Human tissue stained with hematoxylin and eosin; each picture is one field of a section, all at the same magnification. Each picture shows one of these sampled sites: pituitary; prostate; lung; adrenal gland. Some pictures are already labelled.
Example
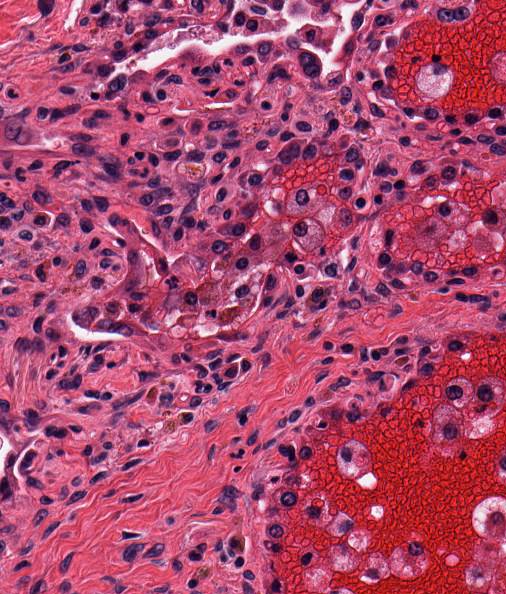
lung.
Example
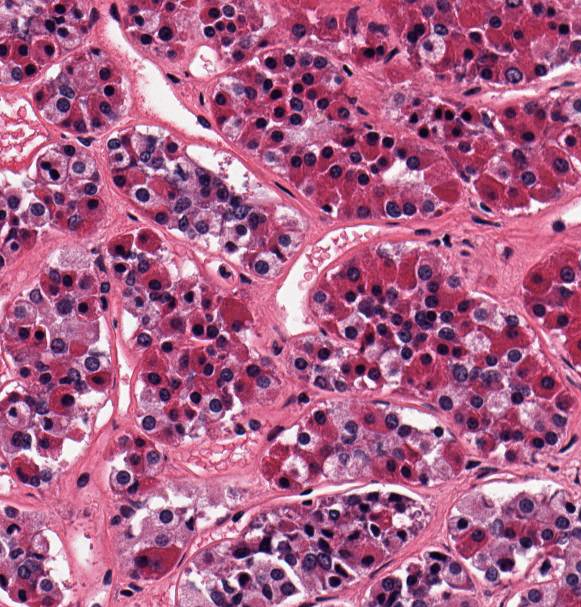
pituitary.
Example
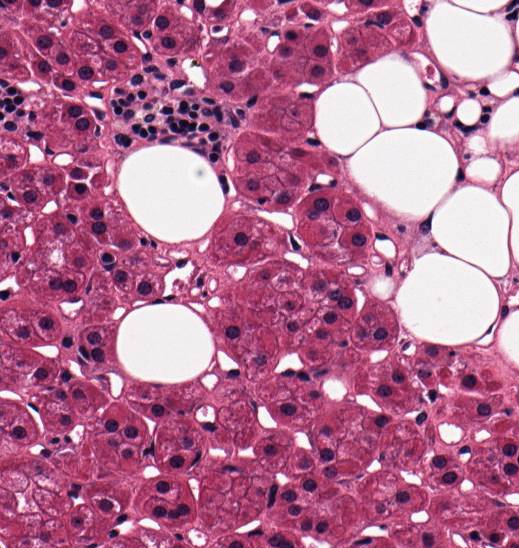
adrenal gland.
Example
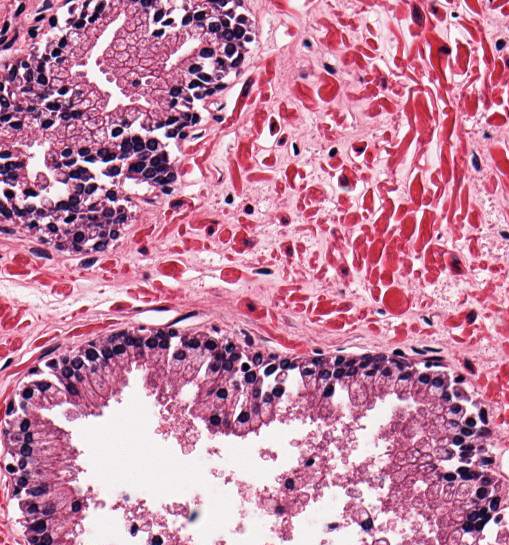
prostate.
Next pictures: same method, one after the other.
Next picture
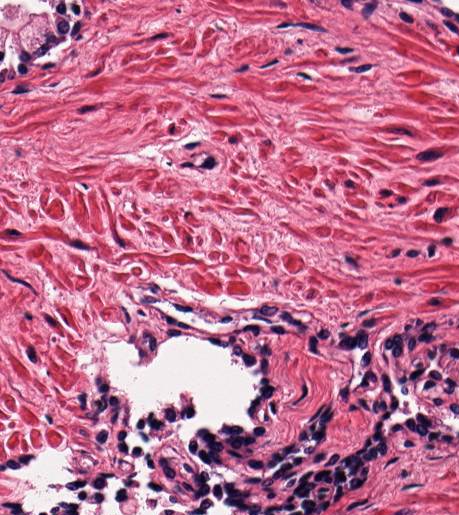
prostate.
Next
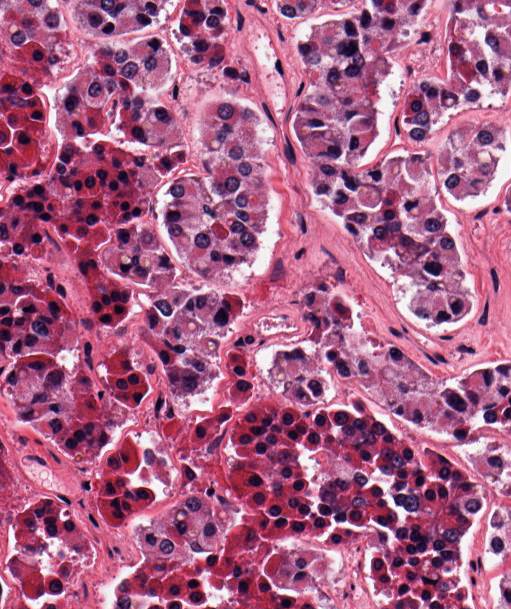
pituitary.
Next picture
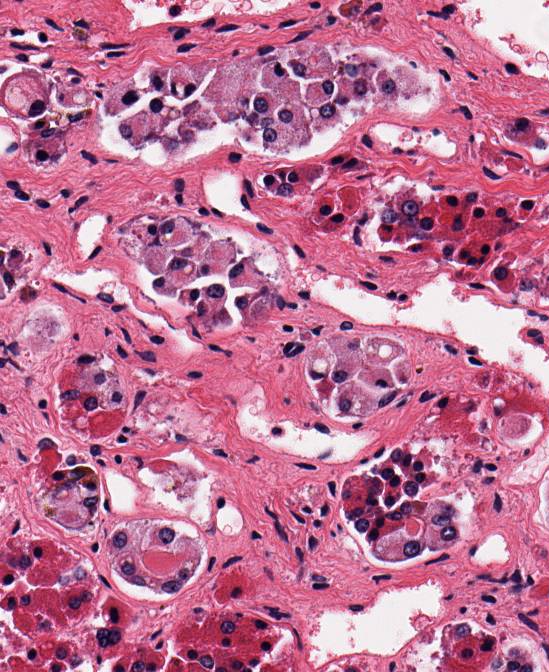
pituitary.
